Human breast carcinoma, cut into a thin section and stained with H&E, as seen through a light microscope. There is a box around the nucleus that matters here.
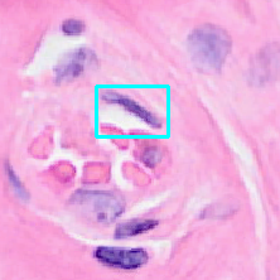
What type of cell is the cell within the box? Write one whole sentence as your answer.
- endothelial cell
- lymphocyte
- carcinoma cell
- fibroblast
In the context of this tissue, the cell within the box is an endothelial cell.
